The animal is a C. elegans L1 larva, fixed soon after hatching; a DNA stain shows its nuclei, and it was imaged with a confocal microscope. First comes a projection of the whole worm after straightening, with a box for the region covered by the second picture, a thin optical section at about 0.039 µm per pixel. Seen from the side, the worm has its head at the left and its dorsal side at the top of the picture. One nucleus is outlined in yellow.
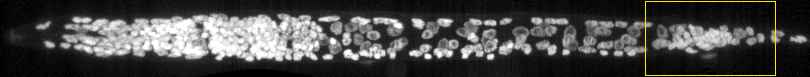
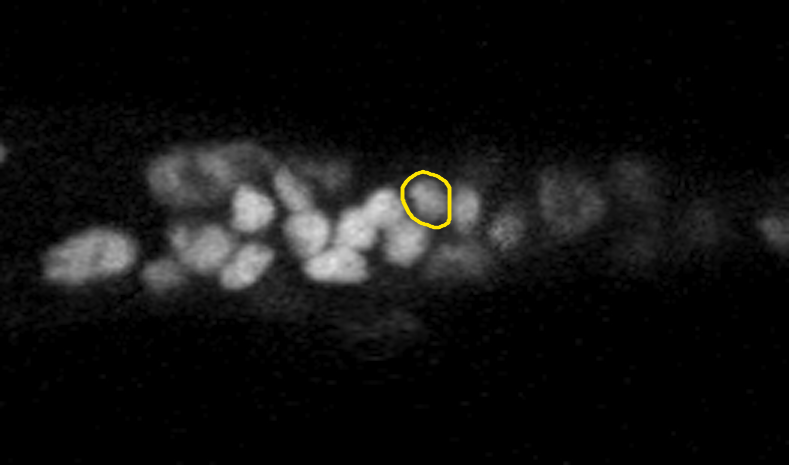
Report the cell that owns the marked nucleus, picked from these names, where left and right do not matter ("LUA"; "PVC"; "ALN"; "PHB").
ALN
